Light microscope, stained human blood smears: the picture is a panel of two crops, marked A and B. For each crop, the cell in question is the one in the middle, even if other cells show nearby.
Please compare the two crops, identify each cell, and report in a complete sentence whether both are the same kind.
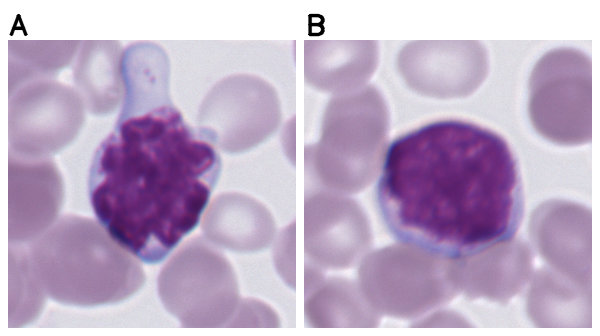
Yes, both crops show large granular lymphocytes, and that holds for each one.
